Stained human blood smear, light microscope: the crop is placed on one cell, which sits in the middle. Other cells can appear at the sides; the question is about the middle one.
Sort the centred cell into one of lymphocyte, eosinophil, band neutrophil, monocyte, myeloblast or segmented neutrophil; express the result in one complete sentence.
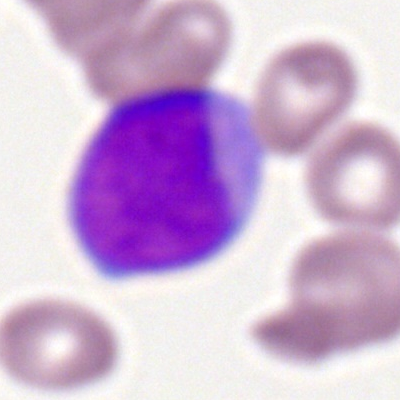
The middle of this crop is occupied by a myeloblast.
